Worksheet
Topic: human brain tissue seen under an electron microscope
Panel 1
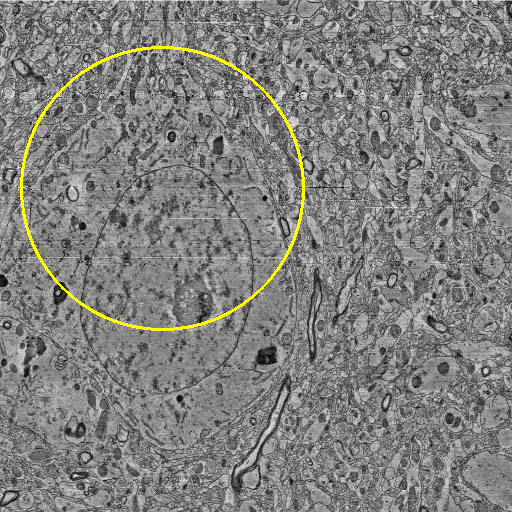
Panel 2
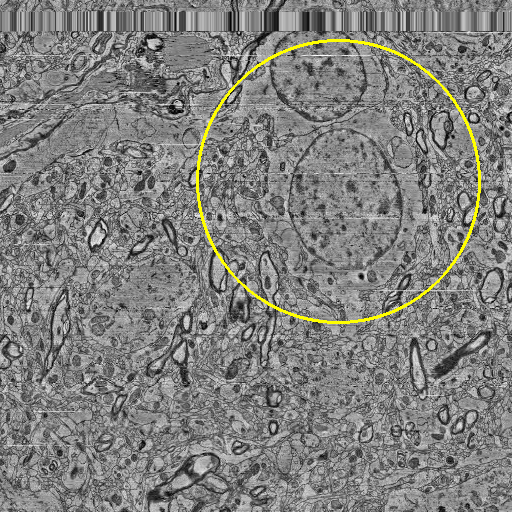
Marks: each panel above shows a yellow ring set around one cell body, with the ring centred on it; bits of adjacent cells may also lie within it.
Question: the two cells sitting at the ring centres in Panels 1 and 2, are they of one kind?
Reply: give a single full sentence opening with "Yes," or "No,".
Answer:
No, the two ring-centre cells in Panel 1 and Panel 2 are of two kinds.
